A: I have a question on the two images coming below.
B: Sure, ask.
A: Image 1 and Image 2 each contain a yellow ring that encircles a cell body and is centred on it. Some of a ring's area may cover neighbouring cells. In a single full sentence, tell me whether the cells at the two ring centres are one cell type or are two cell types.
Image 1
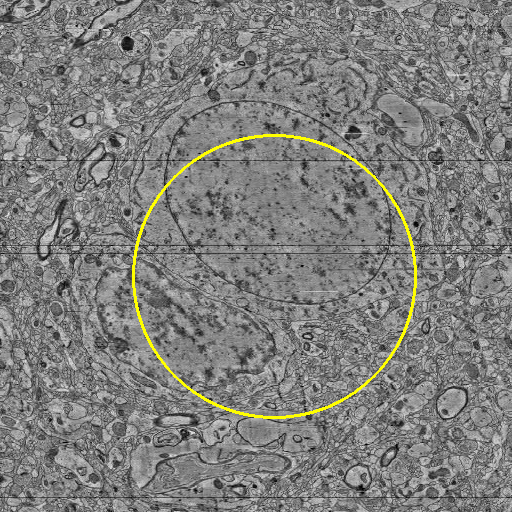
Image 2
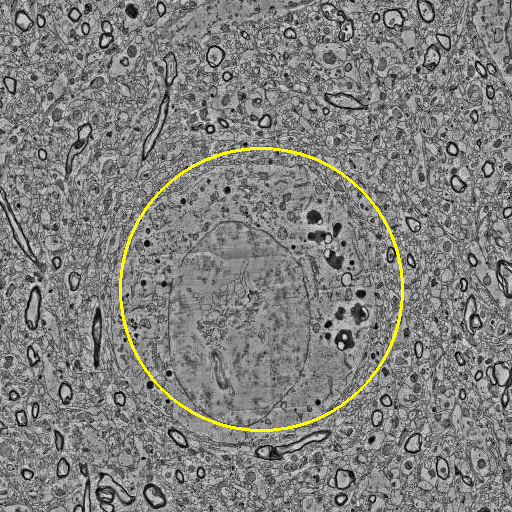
As for the ring-centre cells, the one in Image 1 and the one in Image 2 are one cell type.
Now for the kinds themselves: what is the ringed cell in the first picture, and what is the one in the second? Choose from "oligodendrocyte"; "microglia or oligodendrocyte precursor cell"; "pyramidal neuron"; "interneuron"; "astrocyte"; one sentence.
Each of the two pictures has a pyramidal neuron at the ring centre.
